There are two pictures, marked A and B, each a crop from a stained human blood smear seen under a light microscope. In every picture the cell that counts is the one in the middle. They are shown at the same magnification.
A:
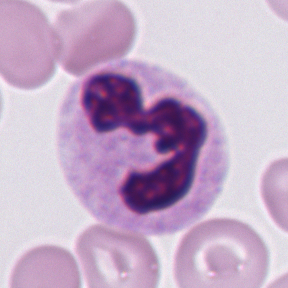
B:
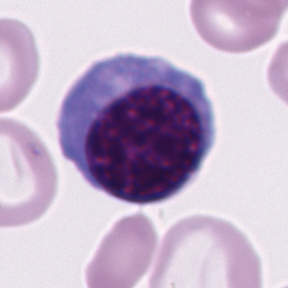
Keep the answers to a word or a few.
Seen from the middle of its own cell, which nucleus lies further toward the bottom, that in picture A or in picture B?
B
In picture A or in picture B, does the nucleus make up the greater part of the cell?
B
